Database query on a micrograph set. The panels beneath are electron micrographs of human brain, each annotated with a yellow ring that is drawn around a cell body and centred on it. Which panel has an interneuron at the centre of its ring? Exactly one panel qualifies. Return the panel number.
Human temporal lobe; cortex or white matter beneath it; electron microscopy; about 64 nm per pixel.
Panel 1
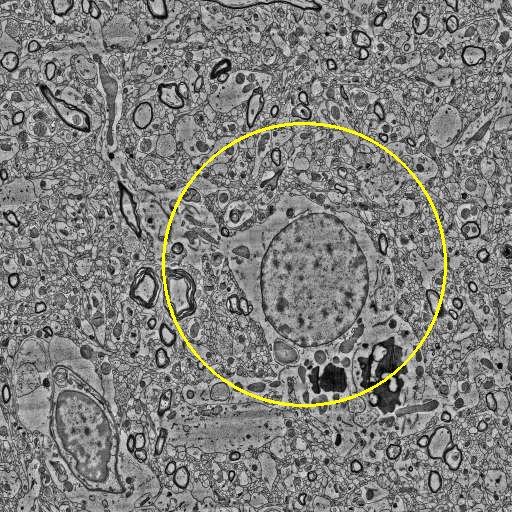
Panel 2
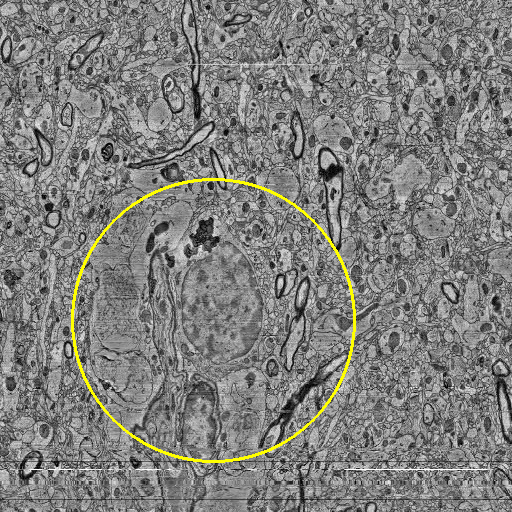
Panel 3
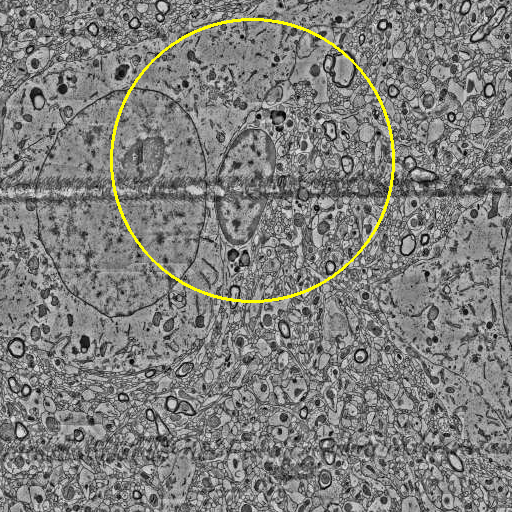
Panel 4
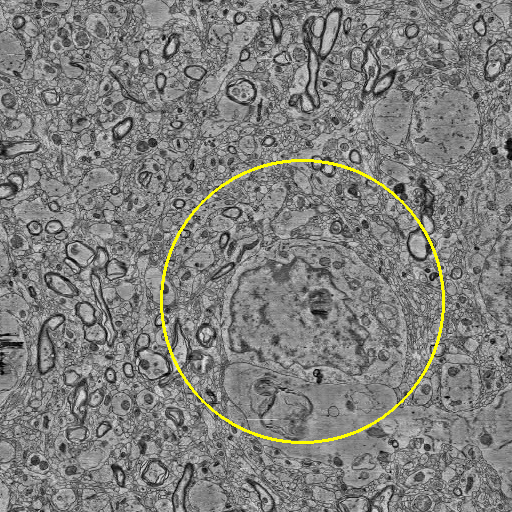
4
